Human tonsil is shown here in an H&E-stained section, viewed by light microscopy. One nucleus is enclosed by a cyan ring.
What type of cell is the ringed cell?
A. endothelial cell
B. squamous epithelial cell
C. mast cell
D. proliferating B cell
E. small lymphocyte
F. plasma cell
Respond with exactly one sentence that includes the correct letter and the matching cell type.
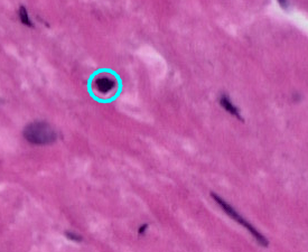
In short, option C: the ringed cell is a mast cell.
